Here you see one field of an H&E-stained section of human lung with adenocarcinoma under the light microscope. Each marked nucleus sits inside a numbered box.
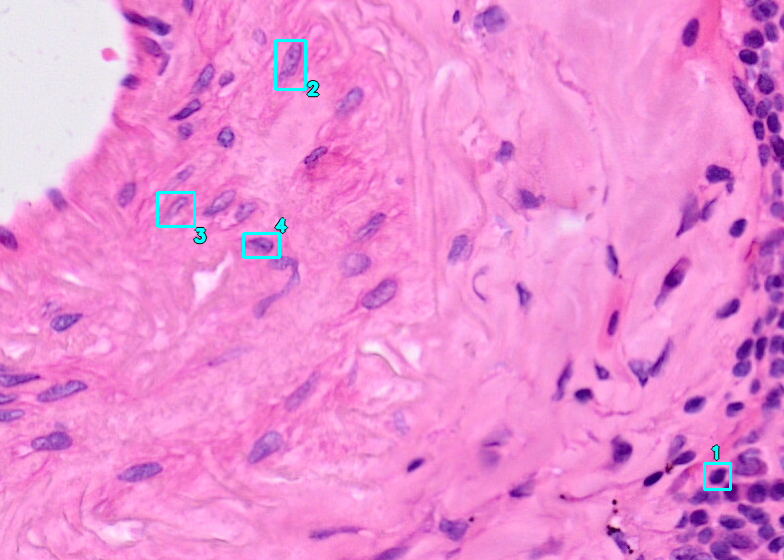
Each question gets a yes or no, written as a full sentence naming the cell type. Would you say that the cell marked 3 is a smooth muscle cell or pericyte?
Yes, the marked cell number 3 is a smooth muscle cell or pericyte.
